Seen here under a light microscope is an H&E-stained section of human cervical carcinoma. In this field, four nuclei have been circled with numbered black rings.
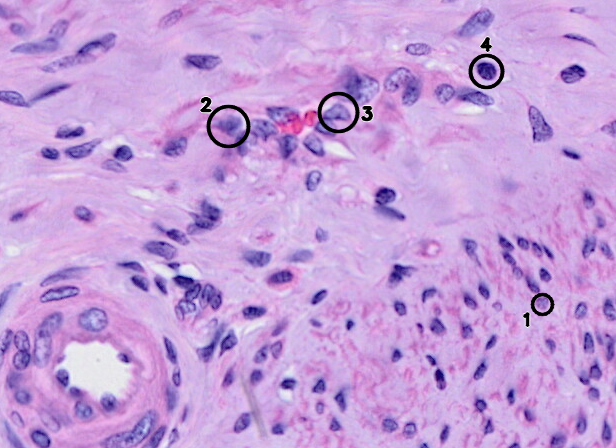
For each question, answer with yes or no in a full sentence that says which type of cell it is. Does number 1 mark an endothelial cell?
No, the cell carrying number 1 is a smooth muscle cell rather than an endothelial cell.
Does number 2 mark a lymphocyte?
No, cell number 2 is an endothelial cell; it is not a lymphocyte.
